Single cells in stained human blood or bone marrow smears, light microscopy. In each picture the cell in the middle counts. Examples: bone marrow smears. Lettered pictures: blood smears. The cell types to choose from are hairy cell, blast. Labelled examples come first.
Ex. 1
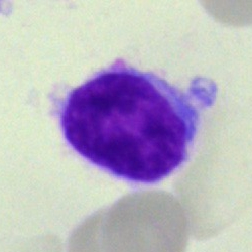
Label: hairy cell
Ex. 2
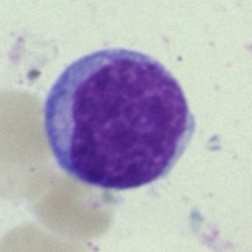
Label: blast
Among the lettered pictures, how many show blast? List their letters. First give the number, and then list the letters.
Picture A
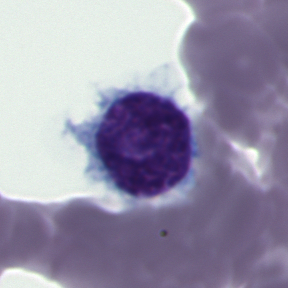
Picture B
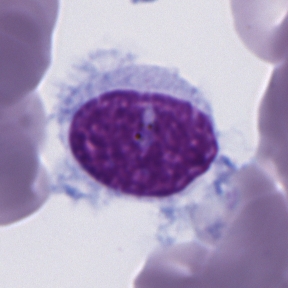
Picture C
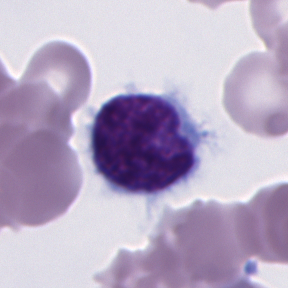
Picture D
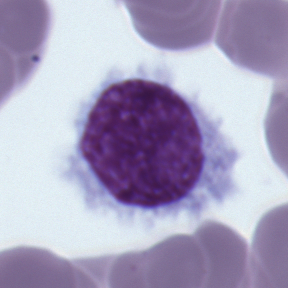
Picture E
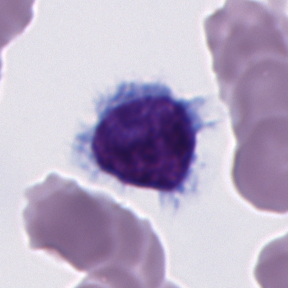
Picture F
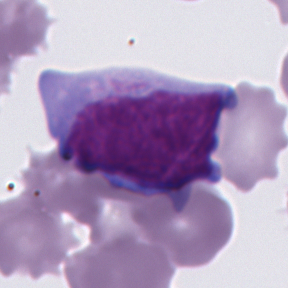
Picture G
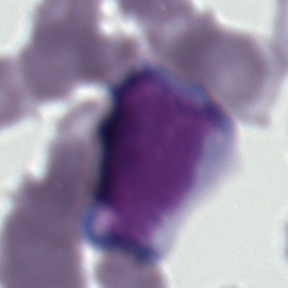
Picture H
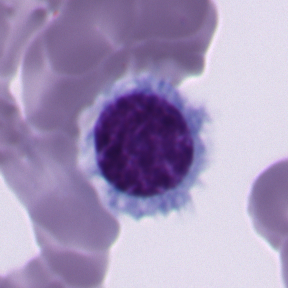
2: F, G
